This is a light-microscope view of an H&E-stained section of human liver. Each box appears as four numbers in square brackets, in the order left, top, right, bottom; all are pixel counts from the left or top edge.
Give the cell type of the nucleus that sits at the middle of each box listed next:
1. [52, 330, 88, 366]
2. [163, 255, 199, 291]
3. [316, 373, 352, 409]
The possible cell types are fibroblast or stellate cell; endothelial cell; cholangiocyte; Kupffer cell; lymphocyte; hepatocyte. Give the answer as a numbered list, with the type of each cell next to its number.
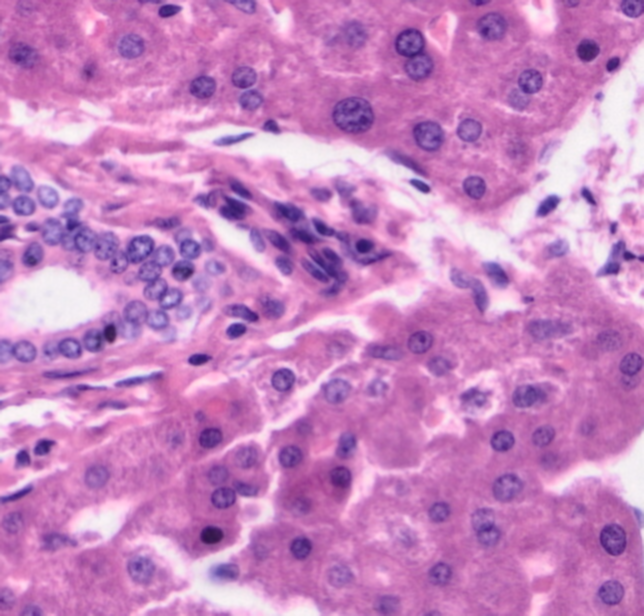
1. cholangiocyte
2. cholangiocyte
3. hepatocyte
